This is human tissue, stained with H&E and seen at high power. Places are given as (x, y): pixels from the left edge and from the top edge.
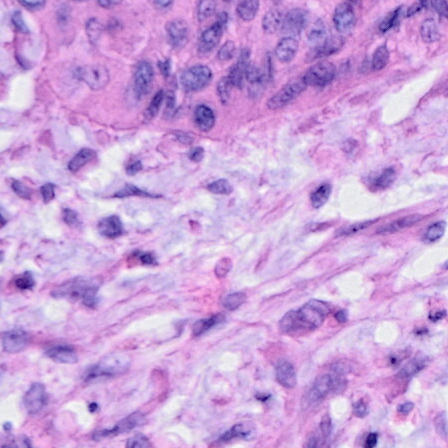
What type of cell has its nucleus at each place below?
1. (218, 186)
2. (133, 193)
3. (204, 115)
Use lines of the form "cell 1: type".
cell 1: fibroblast
cell 2: fibroblast
cell 3: squamous carcinoma cell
